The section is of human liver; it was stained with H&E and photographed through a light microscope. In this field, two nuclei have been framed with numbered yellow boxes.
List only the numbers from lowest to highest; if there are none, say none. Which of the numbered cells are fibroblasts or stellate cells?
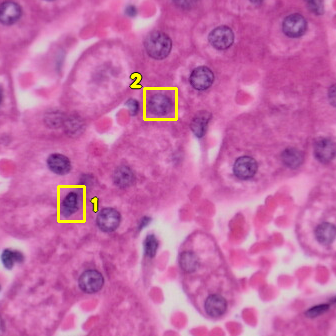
1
